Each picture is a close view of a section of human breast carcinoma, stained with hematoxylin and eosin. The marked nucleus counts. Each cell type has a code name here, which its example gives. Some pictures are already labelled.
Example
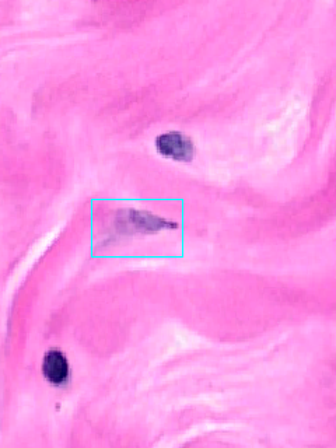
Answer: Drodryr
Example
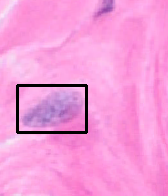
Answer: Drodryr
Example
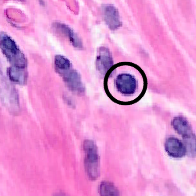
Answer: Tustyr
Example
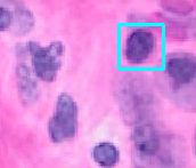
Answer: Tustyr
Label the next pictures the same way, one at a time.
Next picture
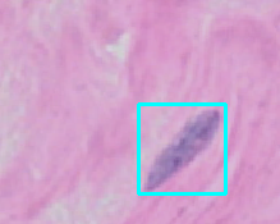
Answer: Drodryr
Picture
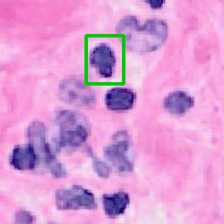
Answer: Tustyr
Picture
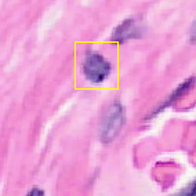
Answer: Tustyr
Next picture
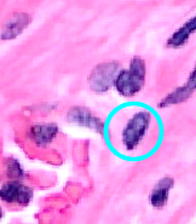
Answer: Tustyr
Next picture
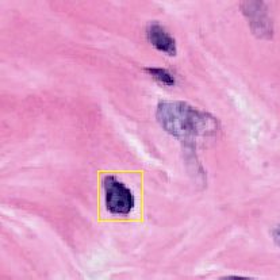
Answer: Tustyr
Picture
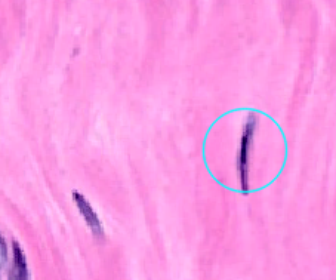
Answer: Drodryr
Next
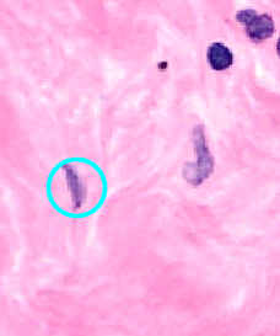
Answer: Drodryr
